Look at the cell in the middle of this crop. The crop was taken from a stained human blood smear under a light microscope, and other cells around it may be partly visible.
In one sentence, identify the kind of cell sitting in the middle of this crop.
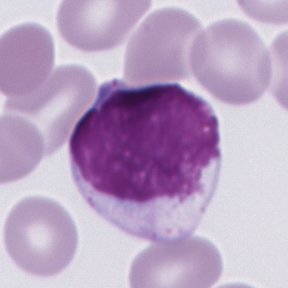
For this crop, the central cell is a large granular lymphocyte.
